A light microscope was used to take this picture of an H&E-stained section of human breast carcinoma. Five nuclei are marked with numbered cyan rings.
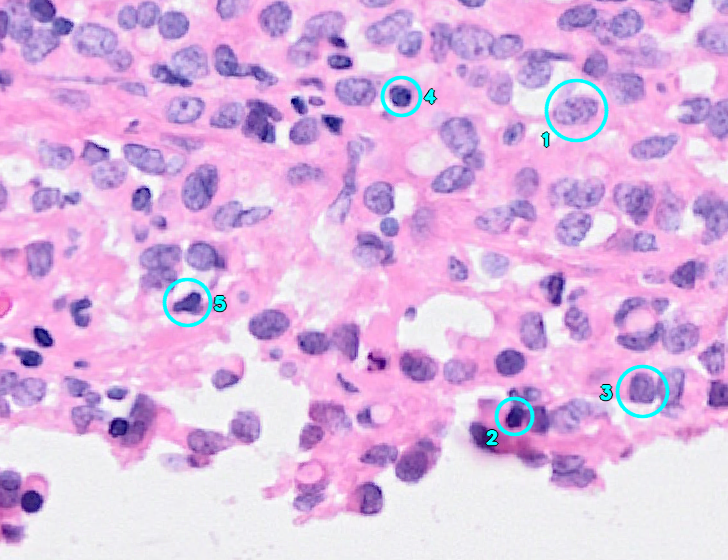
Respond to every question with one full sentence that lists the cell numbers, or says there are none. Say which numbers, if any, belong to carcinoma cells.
So, the cells with numbers 1 and 3 are carcinoma cells.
